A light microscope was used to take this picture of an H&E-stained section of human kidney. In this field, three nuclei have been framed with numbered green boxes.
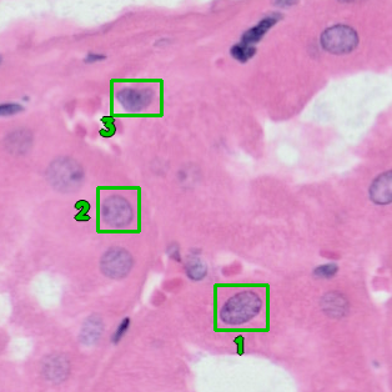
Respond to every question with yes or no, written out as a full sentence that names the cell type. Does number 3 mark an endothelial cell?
Yes, the cell with the mark numbered 3 is an endothelial cell.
